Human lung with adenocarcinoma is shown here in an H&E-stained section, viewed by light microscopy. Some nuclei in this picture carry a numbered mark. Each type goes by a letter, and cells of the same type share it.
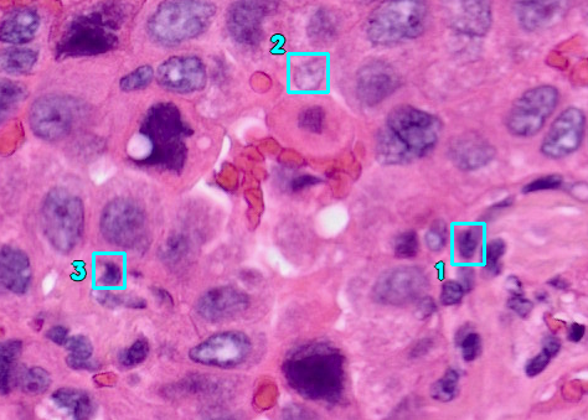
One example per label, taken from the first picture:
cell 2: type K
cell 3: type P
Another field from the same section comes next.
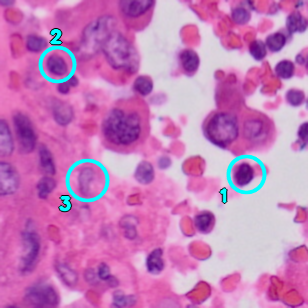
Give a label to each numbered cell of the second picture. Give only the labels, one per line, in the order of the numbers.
type P
type P
type K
